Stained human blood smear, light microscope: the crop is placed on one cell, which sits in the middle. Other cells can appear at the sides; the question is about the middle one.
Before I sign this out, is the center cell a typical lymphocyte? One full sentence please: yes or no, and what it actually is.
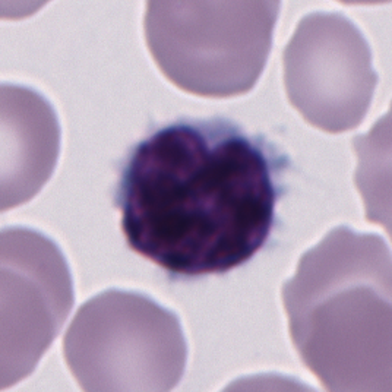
No, the central cell is classed as a hairy cell and not as a typical lymphocyte.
